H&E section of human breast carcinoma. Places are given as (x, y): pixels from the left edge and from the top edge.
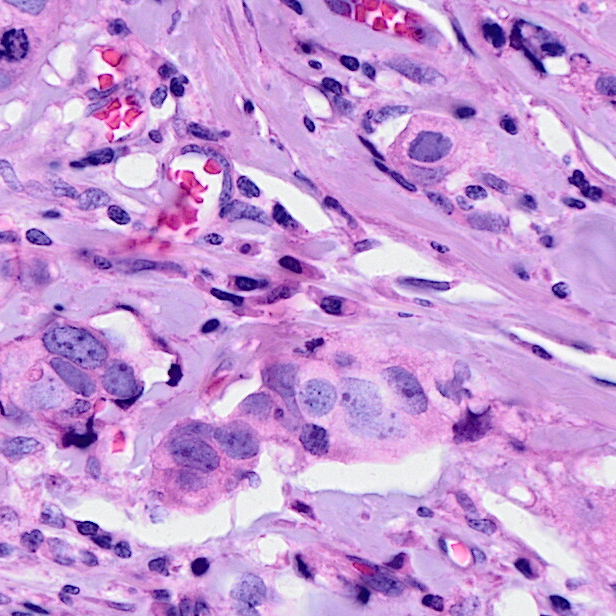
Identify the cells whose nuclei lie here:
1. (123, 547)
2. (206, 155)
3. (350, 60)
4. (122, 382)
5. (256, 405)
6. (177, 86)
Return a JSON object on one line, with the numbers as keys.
{"1": "lymphocyte", "2": "endothelial cell", "3": "lymphocyte", "4": "carcinoma cell", "5": "carcinoma cell", "6": "lymphocyte"}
